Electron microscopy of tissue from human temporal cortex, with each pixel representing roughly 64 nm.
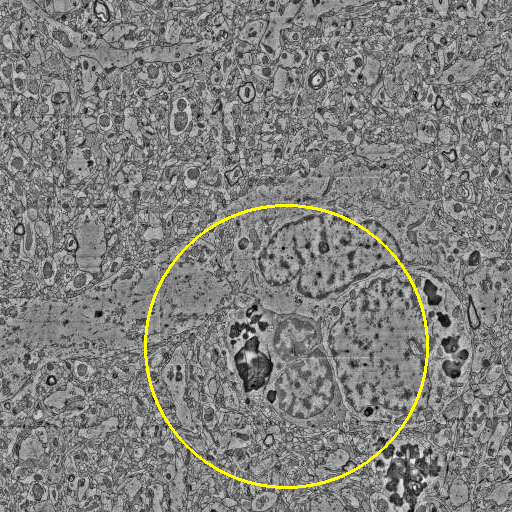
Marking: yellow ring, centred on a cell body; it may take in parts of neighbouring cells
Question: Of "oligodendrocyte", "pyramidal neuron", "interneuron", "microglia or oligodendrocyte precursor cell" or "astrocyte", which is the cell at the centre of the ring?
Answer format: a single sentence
The ring surrounds the body of an oligodendrocyte.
